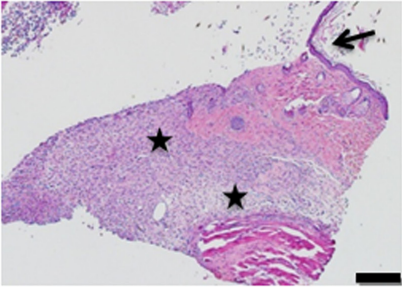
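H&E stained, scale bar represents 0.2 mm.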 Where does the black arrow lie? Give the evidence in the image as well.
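The arrow points to a thin surface epithelial strip at the upper right. To the left of the arrow the tissue surface has no epithelial covering.
Conclusion: edge of the wound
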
